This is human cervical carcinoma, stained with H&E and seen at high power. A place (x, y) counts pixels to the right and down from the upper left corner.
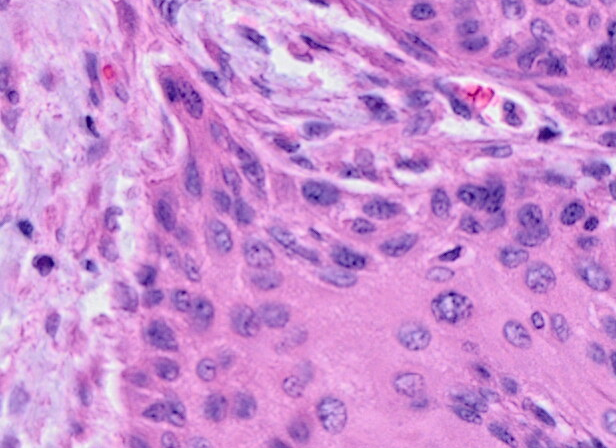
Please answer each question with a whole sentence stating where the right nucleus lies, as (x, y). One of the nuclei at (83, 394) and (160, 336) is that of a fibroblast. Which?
Of the two, the nucleus at (83, 394) is the one contained in a fibroblast.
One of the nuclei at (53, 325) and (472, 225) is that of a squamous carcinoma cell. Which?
The cell to which the nucleus at (472, 225) belongs is a squamous carcinoma cell.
